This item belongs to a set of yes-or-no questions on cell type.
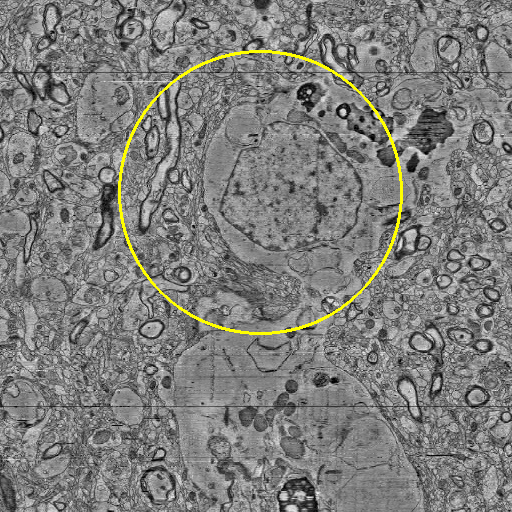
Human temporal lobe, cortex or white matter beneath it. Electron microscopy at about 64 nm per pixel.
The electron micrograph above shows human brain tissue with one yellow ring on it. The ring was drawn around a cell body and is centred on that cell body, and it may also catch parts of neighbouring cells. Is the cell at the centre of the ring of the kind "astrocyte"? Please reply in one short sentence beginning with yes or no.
Yes, that cell is of the named kind.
